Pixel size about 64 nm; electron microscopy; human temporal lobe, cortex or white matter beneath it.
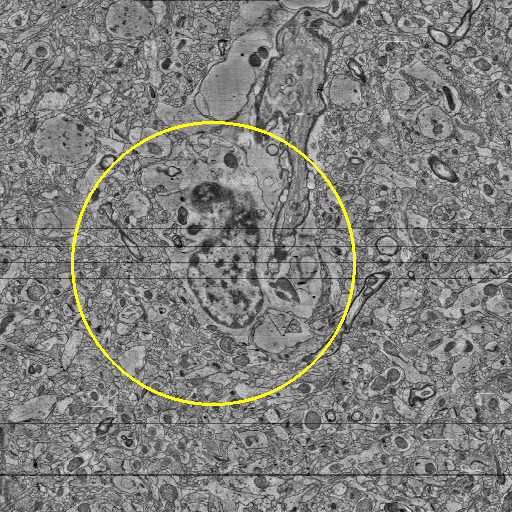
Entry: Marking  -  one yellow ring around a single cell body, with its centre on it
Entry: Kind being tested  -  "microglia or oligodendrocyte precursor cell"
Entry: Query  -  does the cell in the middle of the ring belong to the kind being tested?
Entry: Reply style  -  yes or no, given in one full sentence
Yes, the centred cell within the ring in the picture does belong to the tested kind.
